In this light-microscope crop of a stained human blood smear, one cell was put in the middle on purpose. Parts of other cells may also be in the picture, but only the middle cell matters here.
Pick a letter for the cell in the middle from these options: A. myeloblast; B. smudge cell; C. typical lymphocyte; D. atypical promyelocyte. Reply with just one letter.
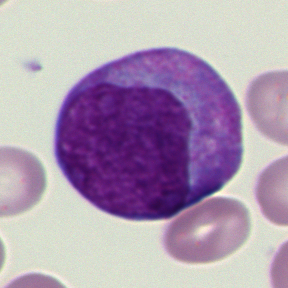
D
